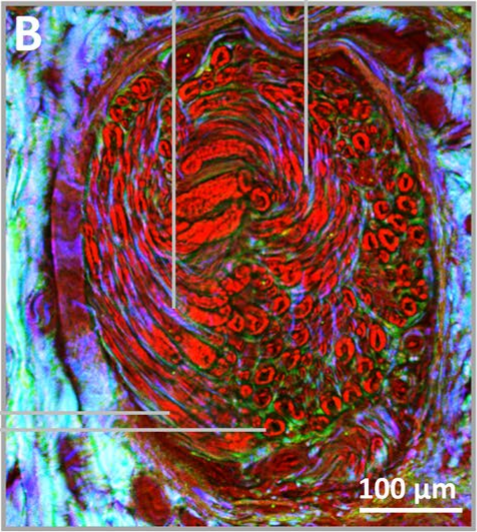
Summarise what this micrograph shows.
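A single nerve fascicle of a peripheral nerve, bounded by concentric layers of fibrous sheath, packed with axons whose myelin appears as bright red rings and ovals around darker centres. In the upper middle the axons run obliquely or lengthwise and appear as elongated red profiles. Fine blue and green fibrous material lies between the axons, and a band of bright whitish-blue fibrous tissue borders the fascicle on the left.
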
